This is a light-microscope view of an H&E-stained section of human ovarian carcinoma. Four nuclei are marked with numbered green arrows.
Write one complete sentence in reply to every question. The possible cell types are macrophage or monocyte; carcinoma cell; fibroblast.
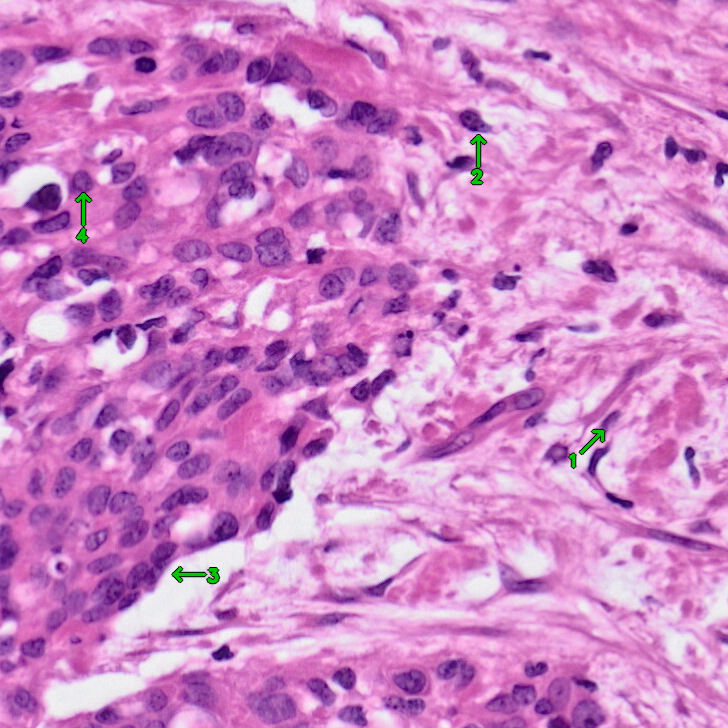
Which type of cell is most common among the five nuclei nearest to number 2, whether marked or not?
Macrophages or monocytes account for more than half of the five nuclei nearest to number 2.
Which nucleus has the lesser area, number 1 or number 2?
Nucleus 1 covers less area, with nucleus 2 about 2.5 times as large.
